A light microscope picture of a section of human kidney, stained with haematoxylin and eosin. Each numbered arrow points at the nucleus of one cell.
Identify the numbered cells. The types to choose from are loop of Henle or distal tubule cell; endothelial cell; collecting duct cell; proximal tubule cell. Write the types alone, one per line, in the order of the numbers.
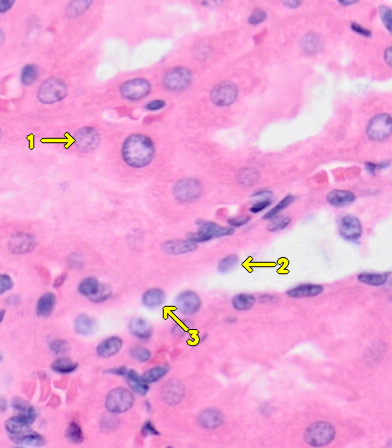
proximal tubule cell
loop of Henle or distal tubule cell
loop of Henle or distal tubule cell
